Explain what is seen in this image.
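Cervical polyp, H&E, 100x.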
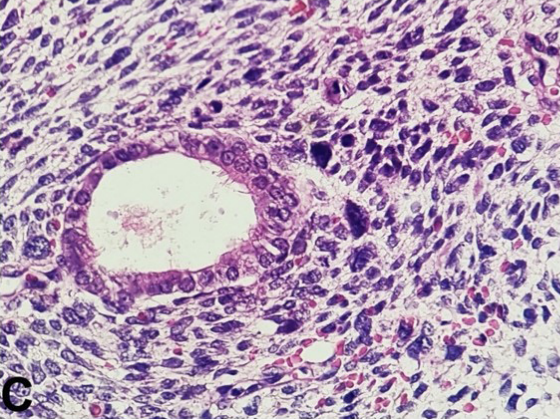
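Densely packed stromal tumor cells crowd around a gland cut in cross-section. The surrounding tumor cells are spindle to ovoid, with scant cytoplasm and dark, irregular nuclei of widely varying size, some of them very large and hyperchromatic. Red blood cells are scattered between the tumor cells.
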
